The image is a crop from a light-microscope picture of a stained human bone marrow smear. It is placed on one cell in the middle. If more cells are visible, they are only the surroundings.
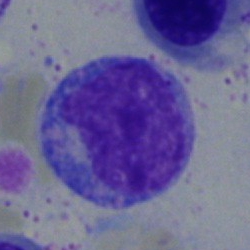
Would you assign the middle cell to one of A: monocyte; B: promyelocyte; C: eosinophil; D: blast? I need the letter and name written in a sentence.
Option A is correct in that the central cell is a monocyte.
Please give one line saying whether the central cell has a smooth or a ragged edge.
The edge of the cell is unbroken and smooth, bearing no projections.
